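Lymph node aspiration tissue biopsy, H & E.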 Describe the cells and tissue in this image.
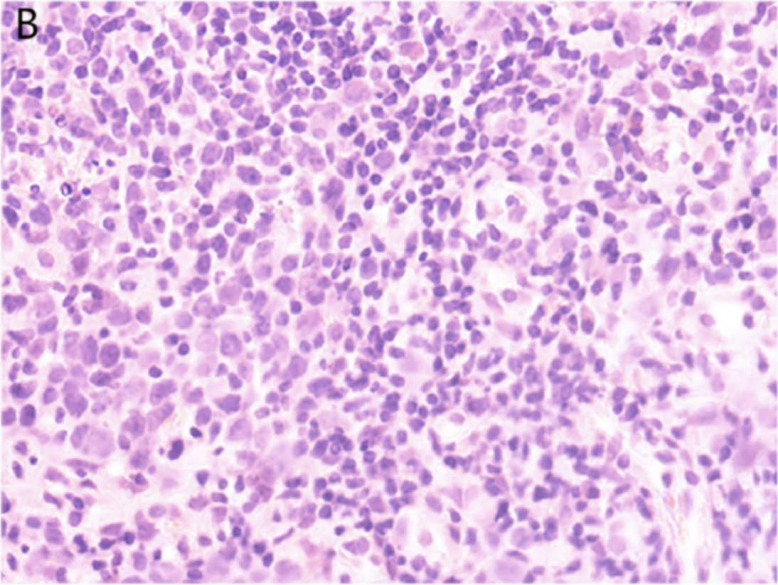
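The cells lie in a dense sheet with little stroma between them. Many have small, round, dark nuclei. Interspersed with these are larger cells, whose nuclei are paler and more open and whose pink cytoplasm is more ample. No orderly architecture is recognisable in the field.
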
